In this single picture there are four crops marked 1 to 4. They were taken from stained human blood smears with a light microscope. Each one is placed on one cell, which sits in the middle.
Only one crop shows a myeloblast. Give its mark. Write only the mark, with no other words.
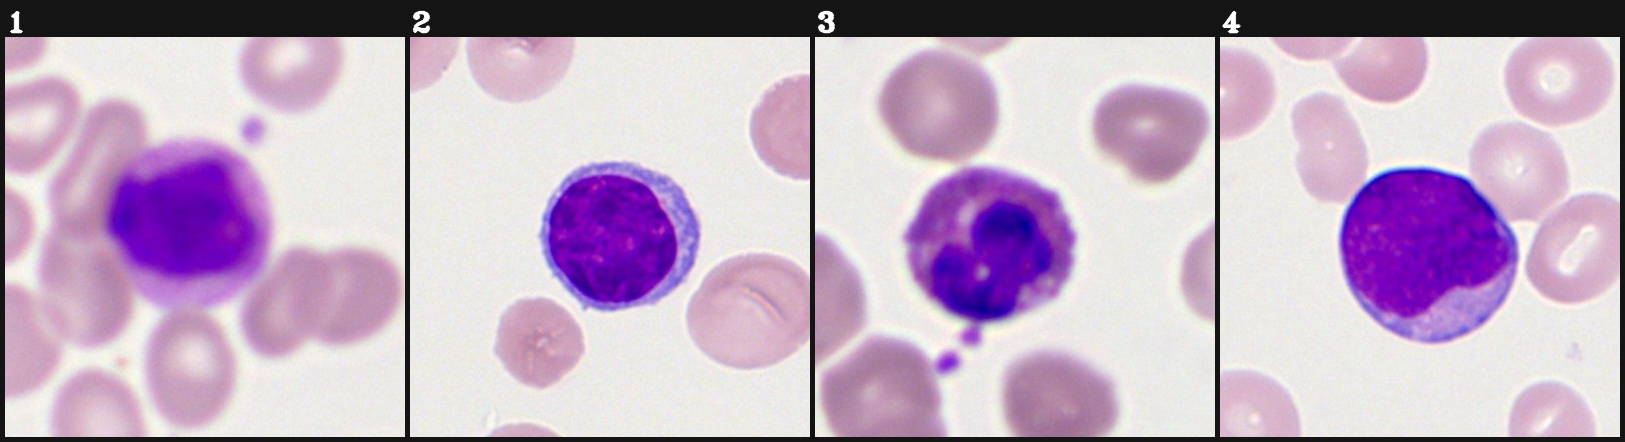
4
